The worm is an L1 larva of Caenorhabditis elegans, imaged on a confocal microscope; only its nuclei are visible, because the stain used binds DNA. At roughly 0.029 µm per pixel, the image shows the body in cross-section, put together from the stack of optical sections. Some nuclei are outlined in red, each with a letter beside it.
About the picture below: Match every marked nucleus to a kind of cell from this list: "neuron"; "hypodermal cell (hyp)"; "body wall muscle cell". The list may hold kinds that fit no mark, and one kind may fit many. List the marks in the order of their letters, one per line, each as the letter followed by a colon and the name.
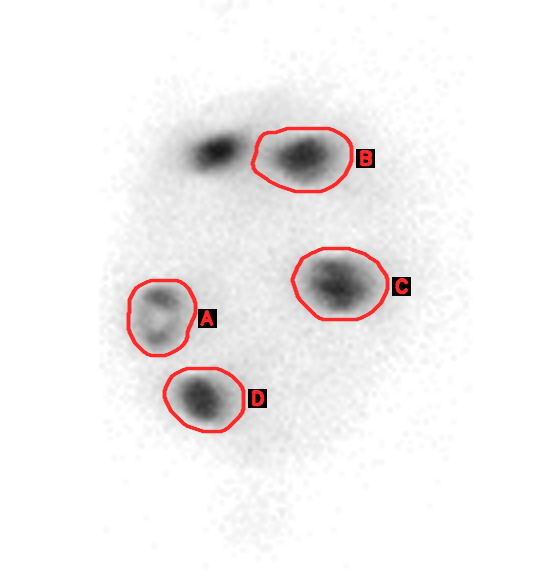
A: hypodermal cell (hyp)
B: body wall muscle cell
C: neuron
D: body wall muscle cell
